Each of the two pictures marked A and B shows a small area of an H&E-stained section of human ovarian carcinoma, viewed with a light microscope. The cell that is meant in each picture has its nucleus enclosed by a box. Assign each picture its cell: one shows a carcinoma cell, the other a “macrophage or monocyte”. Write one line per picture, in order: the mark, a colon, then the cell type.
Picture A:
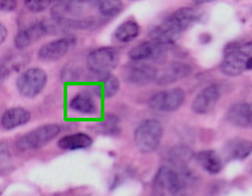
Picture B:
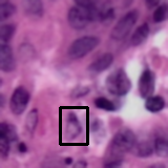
A: carcinoma cell
B: macrophage or monocyte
